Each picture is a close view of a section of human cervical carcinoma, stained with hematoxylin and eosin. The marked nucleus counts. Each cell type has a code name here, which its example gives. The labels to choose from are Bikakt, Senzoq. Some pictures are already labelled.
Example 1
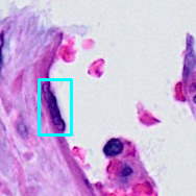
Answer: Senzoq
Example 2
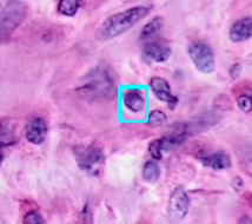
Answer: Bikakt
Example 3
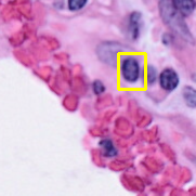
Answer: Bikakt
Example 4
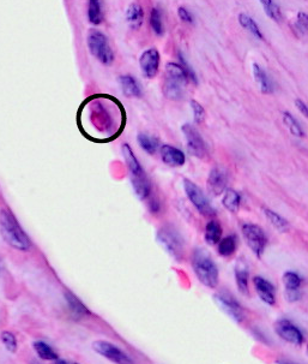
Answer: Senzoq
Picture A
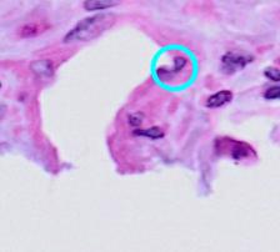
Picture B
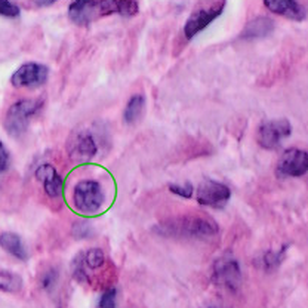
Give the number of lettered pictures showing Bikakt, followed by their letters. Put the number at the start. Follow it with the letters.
1, namely B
